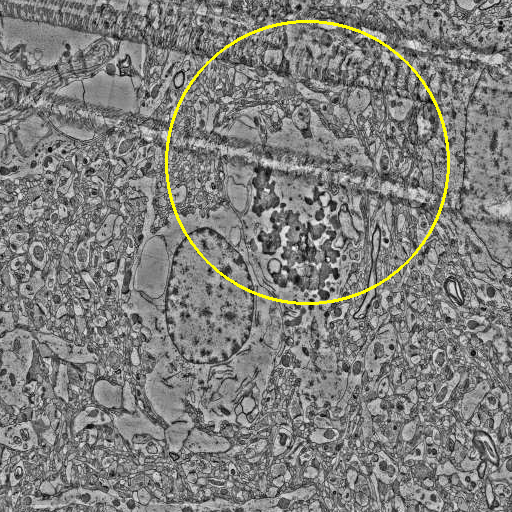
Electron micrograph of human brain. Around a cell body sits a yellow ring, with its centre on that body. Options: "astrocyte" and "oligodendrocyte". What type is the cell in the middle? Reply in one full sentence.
The cell sitting at the centre of the yellow ring is an astrocyte.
